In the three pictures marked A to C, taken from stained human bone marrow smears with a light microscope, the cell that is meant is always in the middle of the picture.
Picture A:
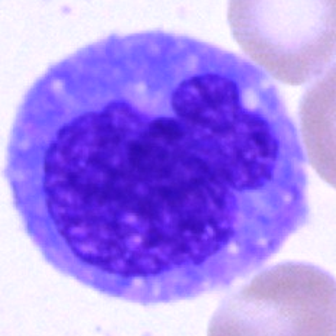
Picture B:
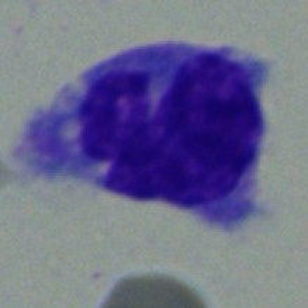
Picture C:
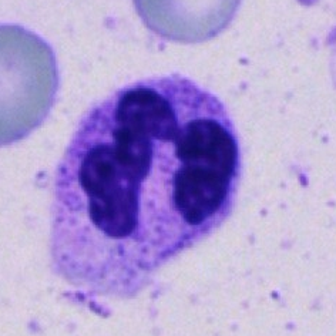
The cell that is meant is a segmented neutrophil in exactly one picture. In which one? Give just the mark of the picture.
C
